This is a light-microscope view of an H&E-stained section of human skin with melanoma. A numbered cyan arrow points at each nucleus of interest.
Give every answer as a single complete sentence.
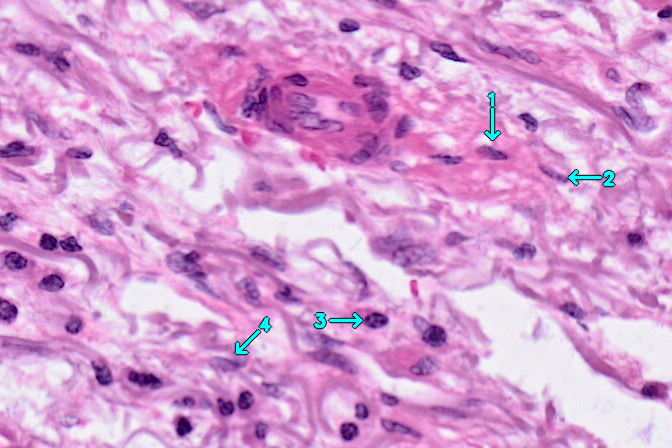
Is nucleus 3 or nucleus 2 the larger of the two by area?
Nucleus 3 is larger, with an area about 2.5 times that of nucleus 2.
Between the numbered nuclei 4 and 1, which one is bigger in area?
The larger nucleus is 4, at roughly 1.5 times the area of 1.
